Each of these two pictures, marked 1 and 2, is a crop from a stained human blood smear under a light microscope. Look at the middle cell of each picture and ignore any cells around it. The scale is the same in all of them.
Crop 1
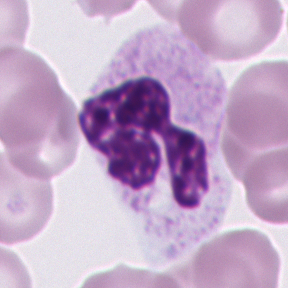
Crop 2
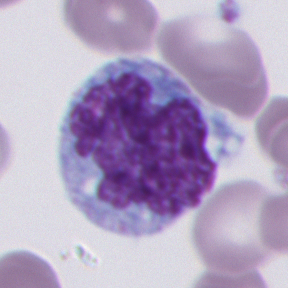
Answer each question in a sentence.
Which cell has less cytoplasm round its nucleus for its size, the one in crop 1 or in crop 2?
Of the two, the nucleus in crop 2 makes up the greater part of its cell.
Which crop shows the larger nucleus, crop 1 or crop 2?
The nucleus in crop 2 is larger, with about 1.5 times the area of the one in crop 1.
